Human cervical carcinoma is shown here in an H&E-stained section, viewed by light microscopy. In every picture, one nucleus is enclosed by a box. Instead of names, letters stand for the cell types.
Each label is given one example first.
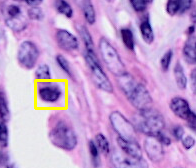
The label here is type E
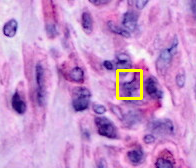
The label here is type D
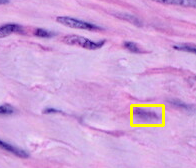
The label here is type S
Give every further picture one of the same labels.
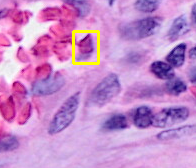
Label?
type D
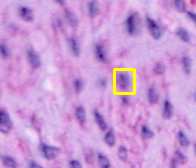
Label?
type S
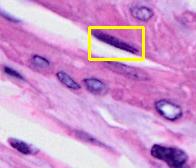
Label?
type D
